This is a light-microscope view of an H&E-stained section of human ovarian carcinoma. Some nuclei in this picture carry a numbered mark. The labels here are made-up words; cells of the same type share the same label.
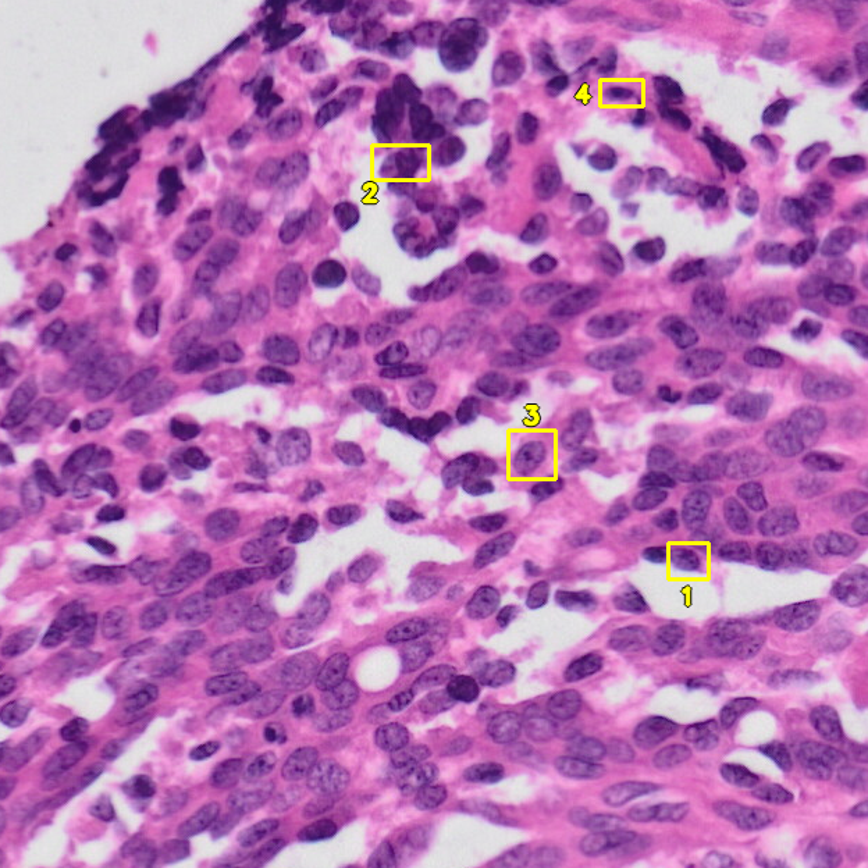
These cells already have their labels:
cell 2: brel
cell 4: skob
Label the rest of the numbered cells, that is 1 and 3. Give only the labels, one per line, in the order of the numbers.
brel
skob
